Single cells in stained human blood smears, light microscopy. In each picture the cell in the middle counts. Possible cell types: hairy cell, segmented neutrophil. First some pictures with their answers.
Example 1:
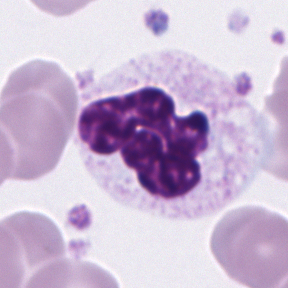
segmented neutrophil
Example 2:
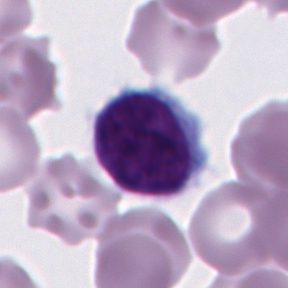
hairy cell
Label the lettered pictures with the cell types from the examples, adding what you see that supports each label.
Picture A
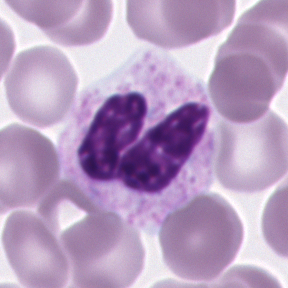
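segmented neutrophil: The cytoplasm is abundant and pale lilac-pink.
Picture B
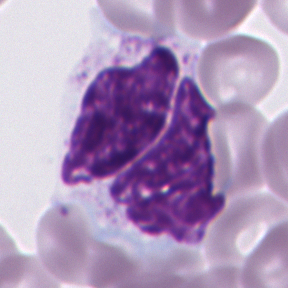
segmented neutrophil: The nucleus is split into two large lobes by a narrow pale cleft running diagonally.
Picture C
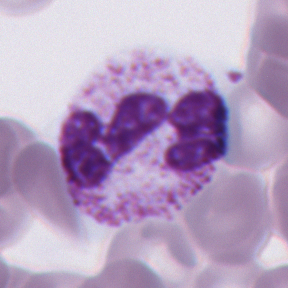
segmented neutrophil: The nucleus is split into separate lobes joined by narrow strands.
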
